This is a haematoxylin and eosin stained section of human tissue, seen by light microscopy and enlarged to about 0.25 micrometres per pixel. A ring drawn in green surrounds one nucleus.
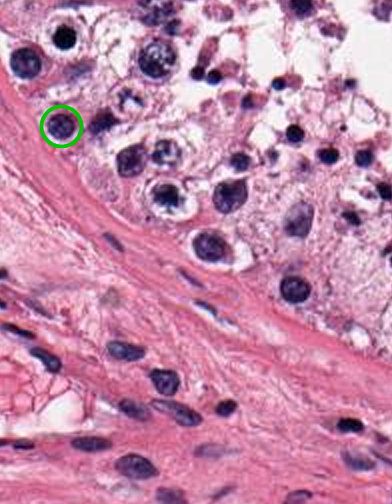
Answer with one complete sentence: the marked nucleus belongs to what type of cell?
In the section shown, the marked nucleus belongs to a spermatogonium.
